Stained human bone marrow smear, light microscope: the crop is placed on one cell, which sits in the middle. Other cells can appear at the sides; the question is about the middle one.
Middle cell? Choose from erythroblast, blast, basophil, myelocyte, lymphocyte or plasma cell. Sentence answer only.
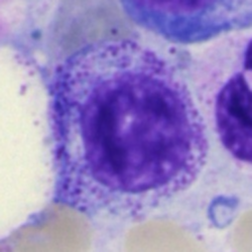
Positioned in the middle of the crop is a myelocyte.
